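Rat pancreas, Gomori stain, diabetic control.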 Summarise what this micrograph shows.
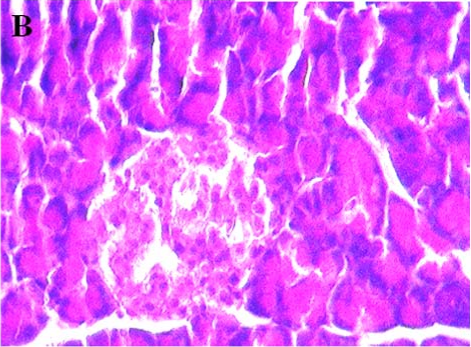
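Here a small pale islet sits in the centre, surrounded on all sides by darker purple-magenta acini. Unlike a healthy islet, its cells are sparse and loosely arranged, with clear spaces and a pale, washed-out look in the middle.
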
